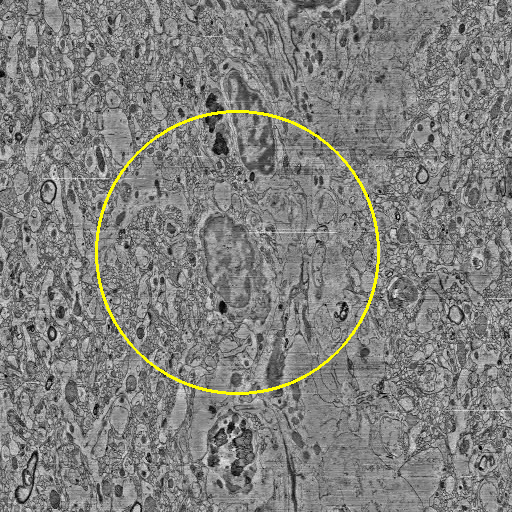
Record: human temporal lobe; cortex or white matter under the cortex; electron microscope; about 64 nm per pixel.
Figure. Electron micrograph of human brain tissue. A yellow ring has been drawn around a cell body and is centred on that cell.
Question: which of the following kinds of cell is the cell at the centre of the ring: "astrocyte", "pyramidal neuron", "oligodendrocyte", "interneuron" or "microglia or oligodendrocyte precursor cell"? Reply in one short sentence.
The cell at the centre of the ring is an oligodendrocyte.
